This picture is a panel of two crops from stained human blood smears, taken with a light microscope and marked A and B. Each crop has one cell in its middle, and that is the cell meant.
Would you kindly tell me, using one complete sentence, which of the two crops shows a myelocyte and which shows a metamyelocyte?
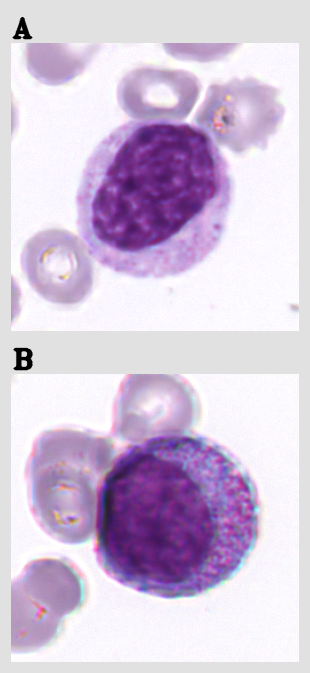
The cell in crop A is a metamyelocyte, whereas the cell in crop B is a myelocyte.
